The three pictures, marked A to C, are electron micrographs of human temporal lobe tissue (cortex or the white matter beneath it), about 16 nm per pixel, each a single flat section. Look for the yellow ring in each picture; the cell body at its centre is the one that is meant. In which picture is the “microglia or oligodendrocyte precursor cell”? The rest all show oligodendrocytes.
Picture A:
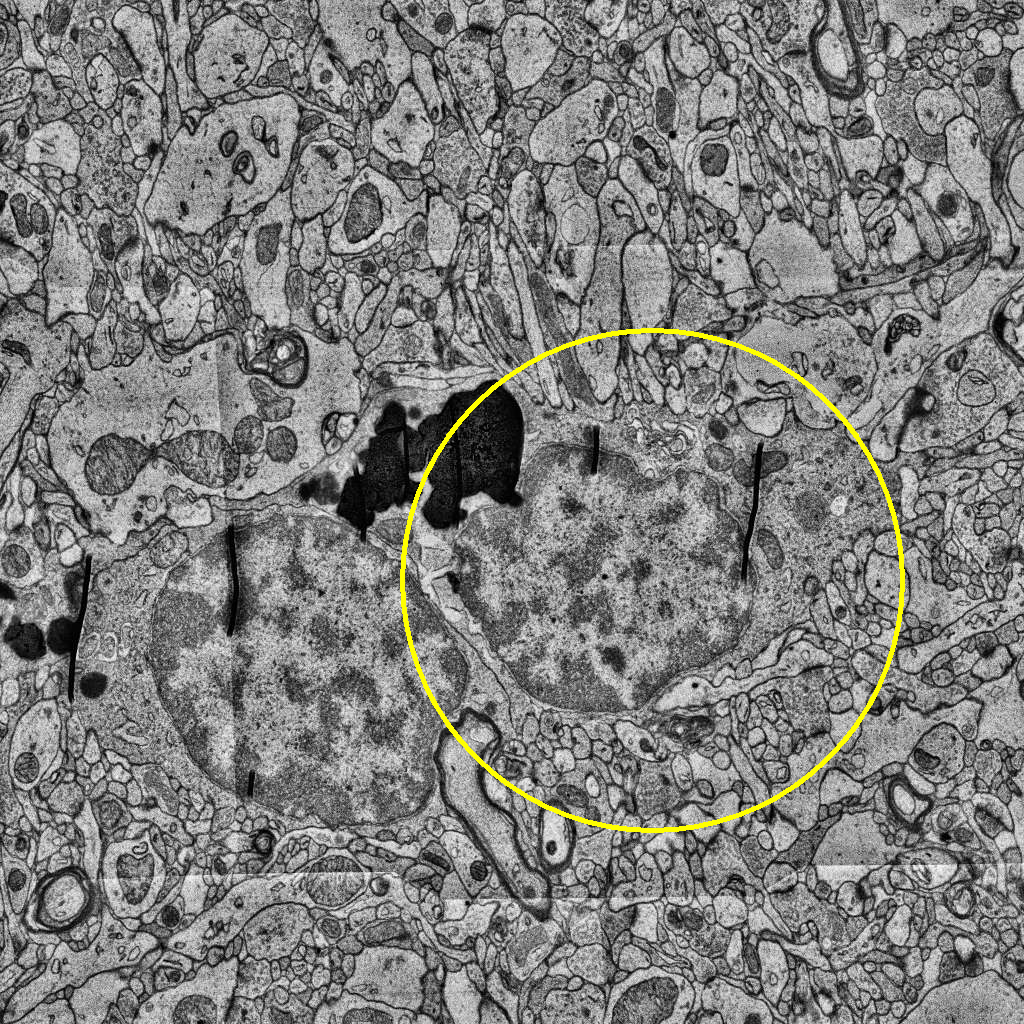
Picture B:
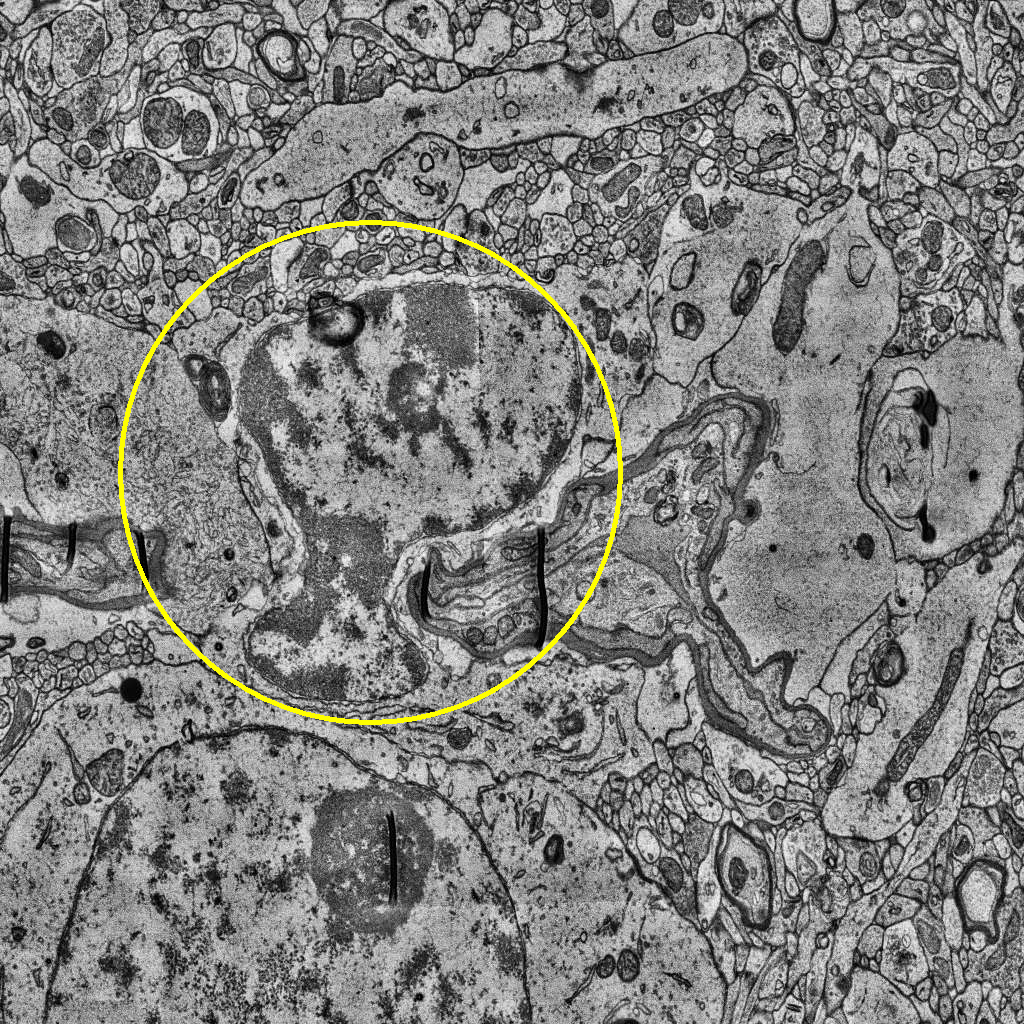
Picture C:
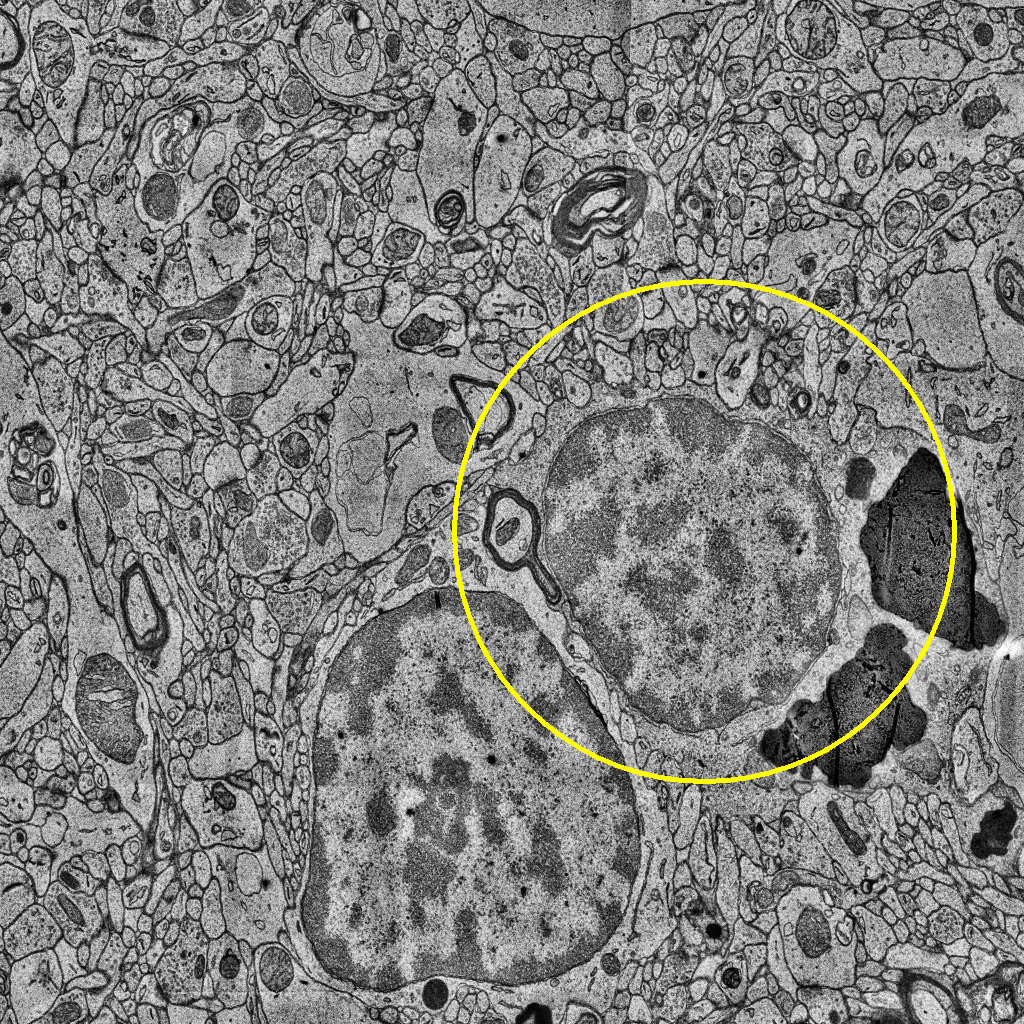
Picture B shows the “microglia or oligodendrocyte precursor cell”.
